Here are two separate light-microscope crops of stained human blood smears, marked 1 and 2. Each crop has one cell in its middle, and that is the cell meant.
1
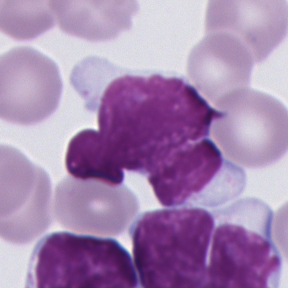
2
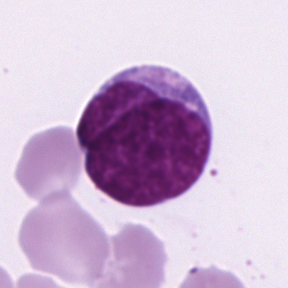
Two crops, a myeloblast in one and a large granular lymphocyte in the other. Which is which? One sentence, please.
Crop 1 is classified as a large granular lymphocyte, and crop 2 as a myeloblast.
